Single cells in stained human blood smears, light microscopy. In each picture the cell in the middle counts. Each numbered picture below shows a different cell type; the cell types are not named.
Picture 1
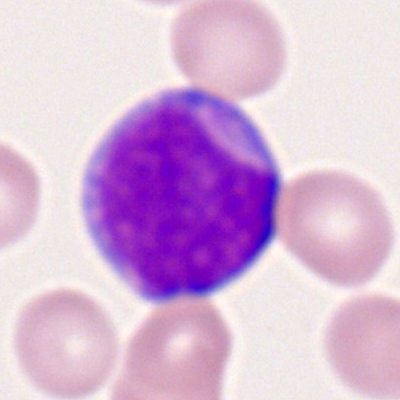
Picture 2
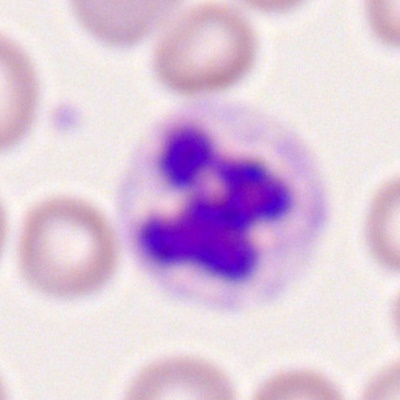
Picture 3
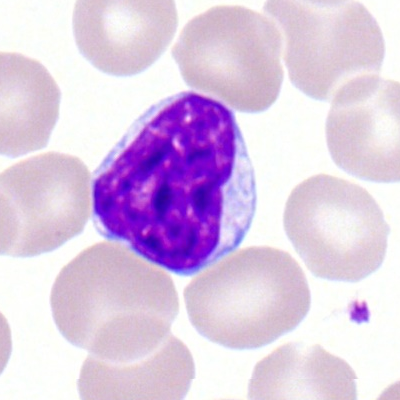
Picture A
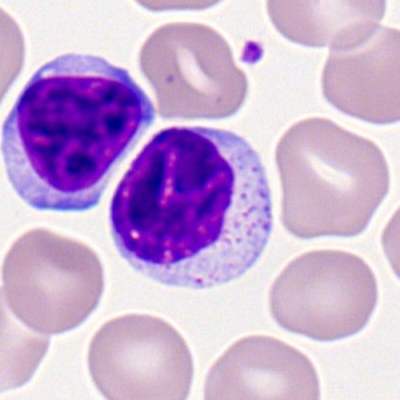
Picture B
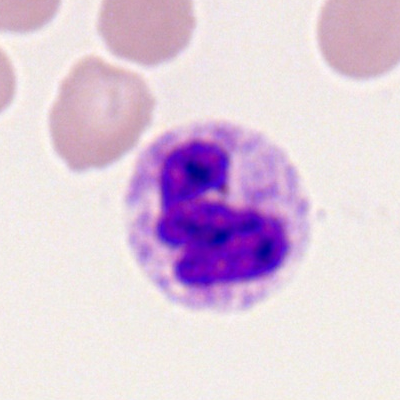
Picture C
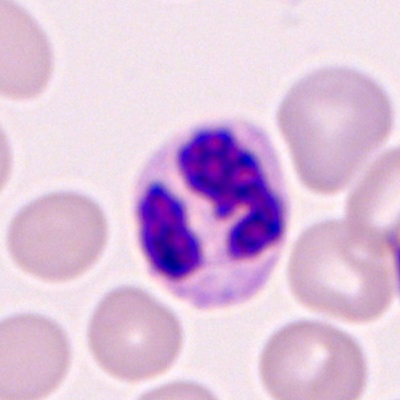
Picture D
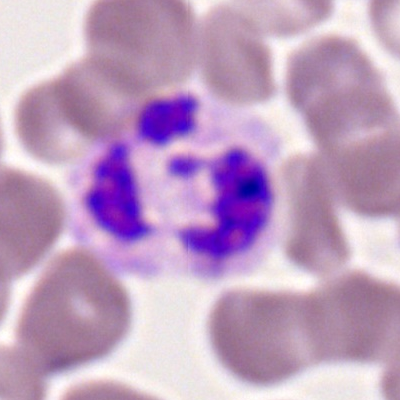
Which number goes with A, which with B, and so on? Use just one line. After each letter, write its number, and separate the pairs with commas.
A 3, B 2, C 2, D 2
